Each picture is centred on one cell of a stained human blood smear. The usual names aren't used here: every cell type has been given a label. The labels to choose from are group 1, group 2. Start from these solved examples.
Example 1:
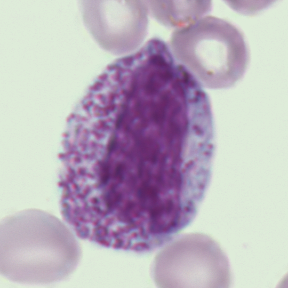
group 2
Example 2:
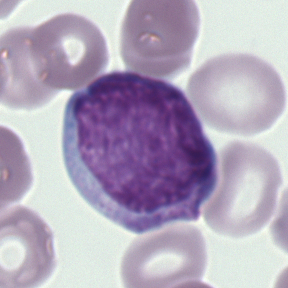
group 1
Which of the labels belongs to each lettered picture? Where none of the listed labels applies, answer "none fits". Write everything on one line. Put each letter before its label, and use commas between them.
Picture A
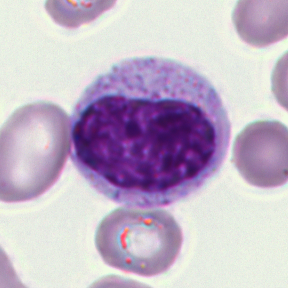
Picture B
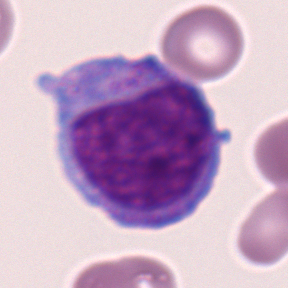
A none fits, B group 1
